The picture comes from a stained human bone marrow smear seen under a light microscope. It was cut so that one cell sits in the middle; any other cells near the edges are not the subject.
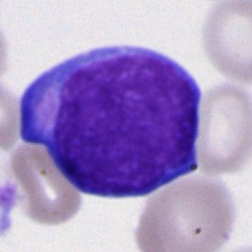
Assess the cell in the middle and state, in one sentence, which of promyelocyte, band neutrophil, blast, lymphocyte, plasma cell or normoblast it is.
The middle of this crop holds a blast.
